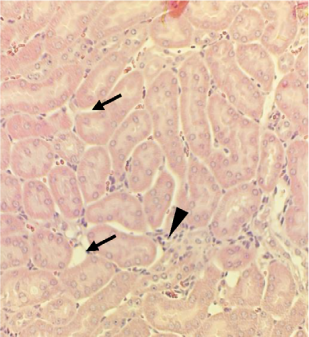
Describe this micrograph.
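This is kidney cortex with many cross-sectioned tubules lined by pink epithelial cells with round purple nuclei. What stands out is the interstitium: instead of tubules lying back to back, many are separated by pale, empty-looking gaps, a widening of the interstitial space that suggests edema. Near the lower right a small cluster of compact, darkly stained nuclei sits between tubules, smaller and denser than the epithelial nuclei; these are infiltrating cells. The tubular epithelium itself keeps its pink cytoplasm and lumens, though the tubules look somewhat separated and irregular.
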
